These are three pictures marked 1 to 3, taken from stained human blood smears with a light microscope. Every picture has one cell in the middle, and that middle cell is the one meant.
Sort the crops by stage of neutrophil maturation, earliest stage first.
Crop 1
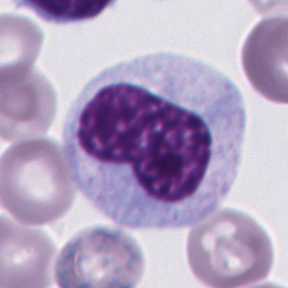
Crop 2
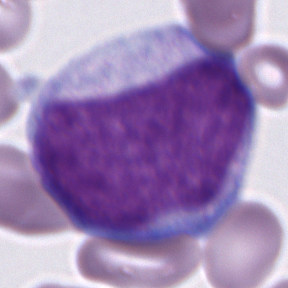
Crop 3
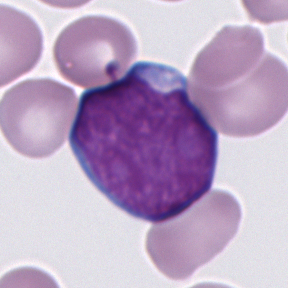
3, 2, 1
